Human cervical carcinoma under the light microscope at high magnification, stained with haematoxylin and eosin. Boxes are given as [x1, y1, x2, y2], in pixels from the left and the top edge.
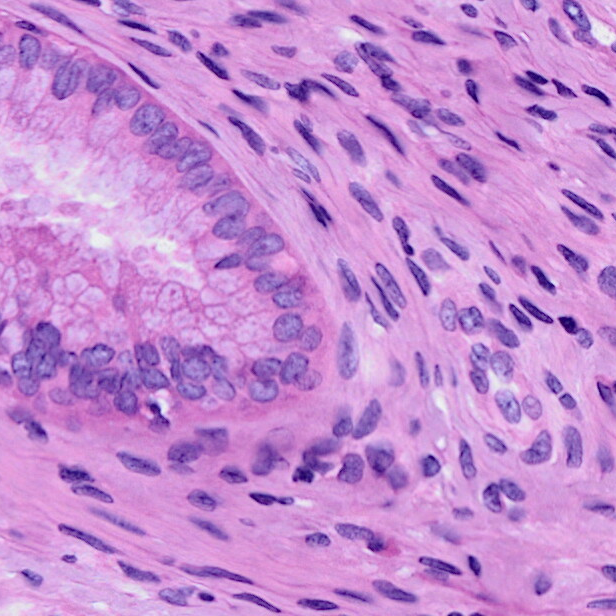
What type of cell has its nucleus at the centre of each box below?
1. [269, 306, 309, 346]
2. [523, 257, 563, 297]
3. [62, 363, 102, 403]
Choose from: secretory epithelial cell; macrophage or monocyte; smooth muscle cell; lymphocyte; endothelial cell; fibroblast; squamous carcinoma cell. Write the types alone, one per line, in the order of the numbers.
secretory epithelial cell
fibroblast
secretory epithelial cell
